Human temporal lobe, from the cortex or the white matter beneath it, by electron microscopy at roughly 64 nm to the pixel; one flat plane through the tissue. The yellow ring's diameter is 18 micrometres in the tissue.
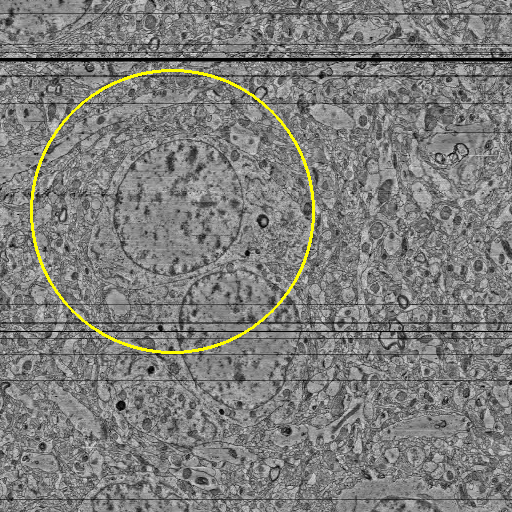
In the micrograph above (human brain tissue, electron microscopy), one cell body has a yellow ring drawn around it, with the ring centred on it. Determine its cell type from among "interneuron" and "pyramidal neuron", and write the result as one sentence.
The cell whose body is ringed is a pyramidal neuron.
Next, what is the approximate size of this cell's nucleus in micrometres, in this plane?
The nucleus of the ringed cell is approximately 9 micrometres across in this plane.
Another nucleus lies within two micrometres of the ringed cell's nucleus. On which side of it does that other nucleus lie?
The second nucleus lies to the lower right of it.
